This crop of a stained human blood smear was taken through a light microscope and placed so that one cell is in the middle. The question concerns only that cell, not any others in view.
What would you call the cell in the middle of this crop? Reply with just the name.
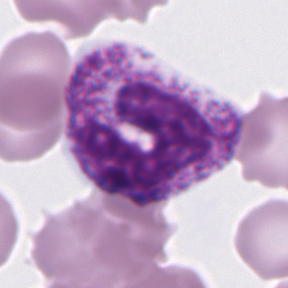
band neutrophil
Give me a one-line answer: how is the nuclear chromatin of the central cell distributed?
Heads up, the chromatin in this one is coarsely clumped.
